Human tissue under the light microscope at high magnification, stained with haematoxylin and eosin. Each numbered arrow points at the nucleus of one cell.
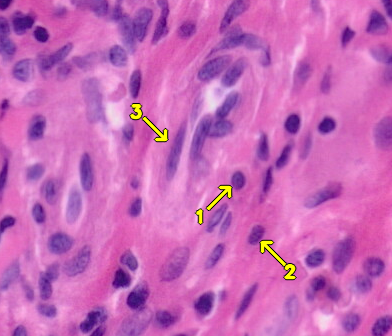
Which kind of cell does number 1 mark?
mast cell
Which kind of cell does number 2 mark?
mast cell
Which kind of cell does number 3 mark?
endothelial cell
